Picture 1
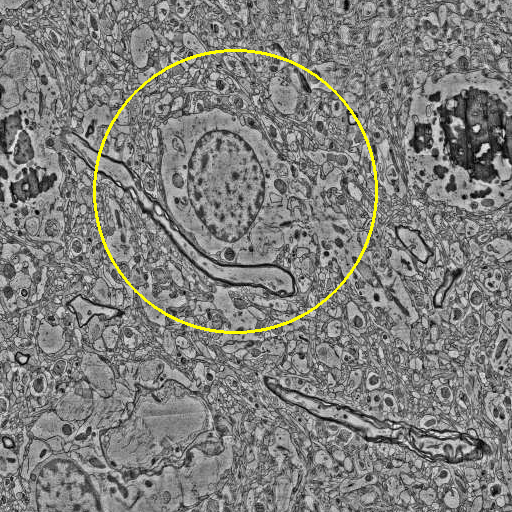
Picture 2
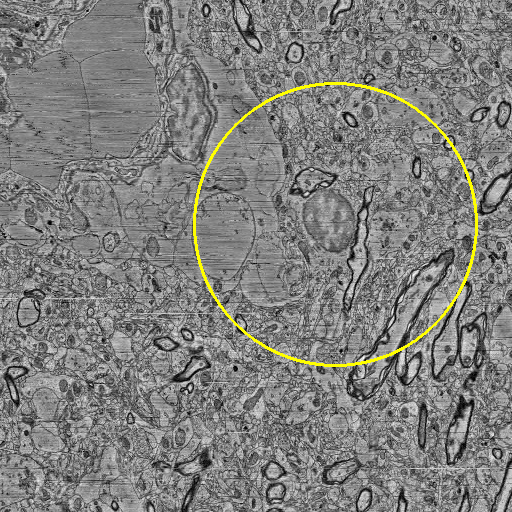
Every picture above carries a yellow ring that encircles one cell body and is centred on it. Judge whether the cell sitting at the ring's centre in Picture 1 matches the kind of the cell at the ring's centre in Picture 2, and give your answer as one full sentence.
No, the cells centred in the rings of Pictures 1 and 2 belong to two kinds.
